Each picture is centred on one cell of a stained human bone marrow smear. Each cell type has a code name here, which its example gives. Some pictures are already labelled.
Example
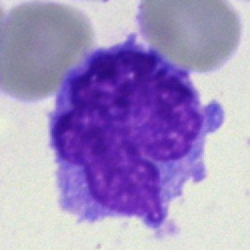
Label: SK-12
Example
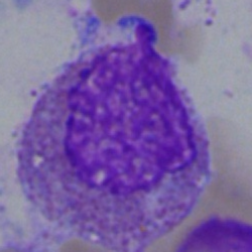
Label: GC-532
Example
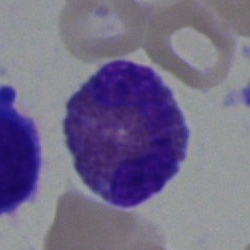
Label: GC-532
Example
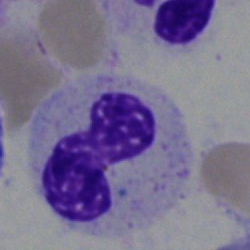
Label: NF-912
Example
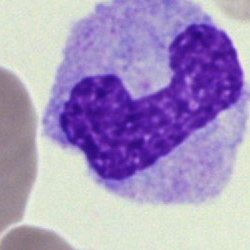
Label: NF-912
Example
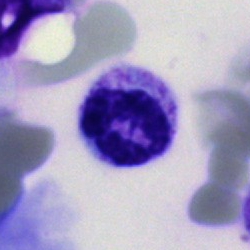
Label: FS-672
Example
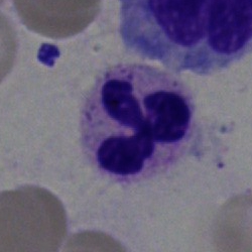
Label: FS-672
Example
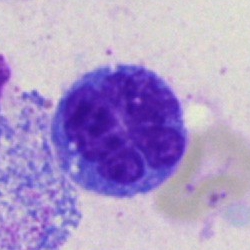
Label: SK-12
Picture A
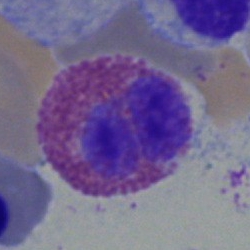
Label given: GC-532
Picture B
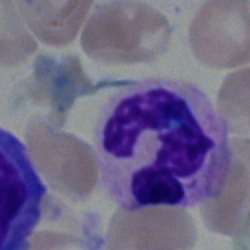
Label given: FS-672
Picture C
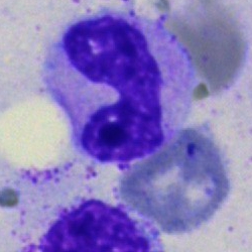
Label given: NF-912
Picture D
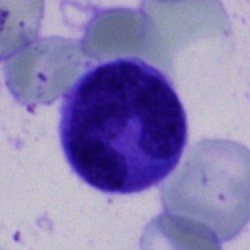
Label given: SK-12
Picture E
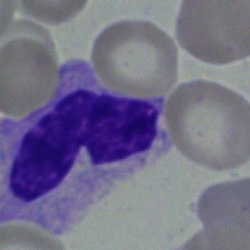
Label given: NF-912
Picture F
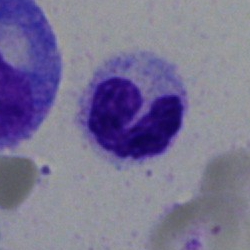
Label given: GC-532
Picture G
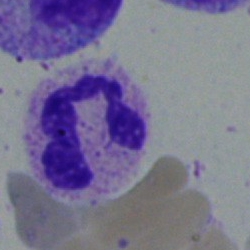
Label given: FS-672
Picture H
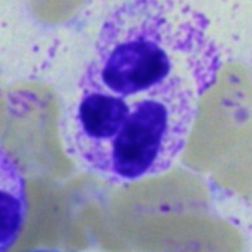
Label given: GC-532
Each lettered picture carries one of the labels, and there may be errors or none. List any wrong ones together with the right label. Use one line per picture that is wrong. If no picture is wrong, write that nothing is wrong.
F should be FS-672, not GC-532
H should be FS-672, not GC-532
